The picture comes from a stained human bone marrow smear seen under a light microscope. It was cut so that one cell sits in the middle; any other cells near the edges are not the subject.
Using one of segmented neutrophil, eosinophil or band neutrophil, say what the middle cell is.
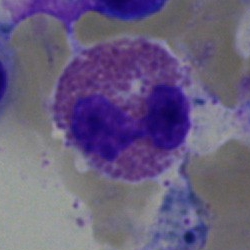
eosinophil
